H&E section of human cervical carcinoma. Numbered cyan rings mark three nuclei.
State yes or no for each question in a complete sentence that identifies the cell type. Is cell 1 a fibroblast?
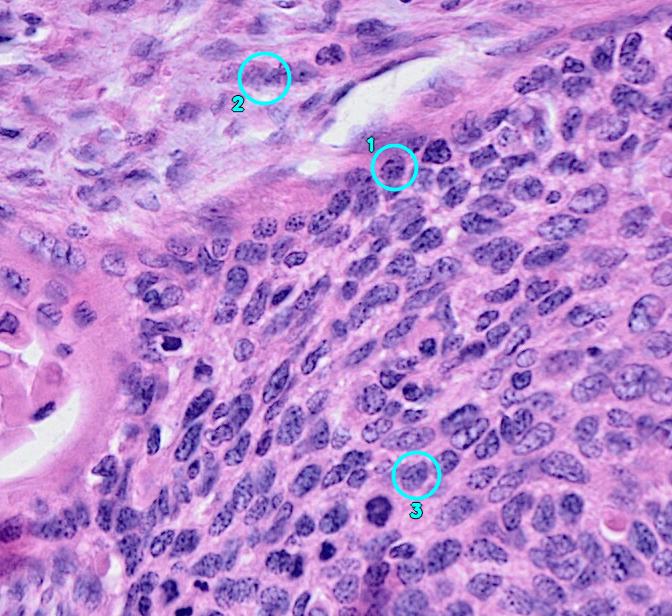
No, cell 1 should be read as a squamous carcinoma cell instead of a fibroblast.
